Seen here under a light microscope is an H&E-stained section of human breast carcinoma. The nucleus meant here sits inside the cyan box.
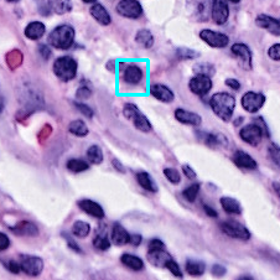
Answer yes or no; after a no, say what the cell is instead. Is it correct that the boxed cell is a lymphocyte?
Yes.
